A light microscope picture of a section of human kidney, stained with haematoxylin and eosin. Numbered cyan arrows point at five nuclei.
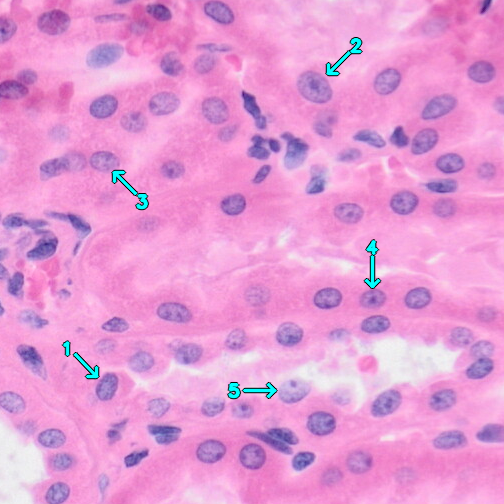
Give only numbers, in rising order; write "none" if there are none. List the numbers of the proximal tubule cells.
2, 3, 4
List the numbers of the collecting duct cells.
none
